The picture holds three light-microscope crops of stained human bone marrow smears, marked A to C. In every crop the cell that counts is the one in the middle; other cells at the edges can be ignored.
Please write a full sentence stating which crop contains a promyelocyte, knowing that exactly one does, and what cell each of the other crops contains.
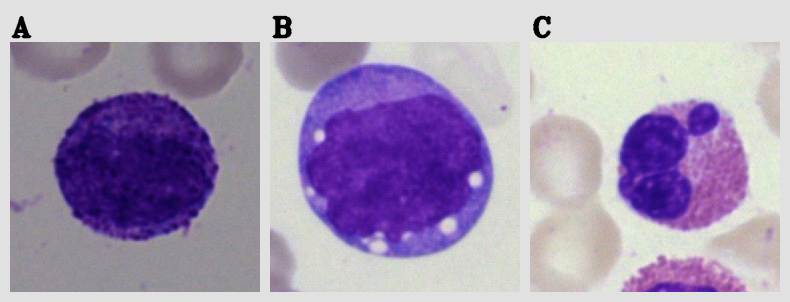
The cell of interest in crop A is a promyelocyte, while crop B is a blast and crop C is an eosinophil.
